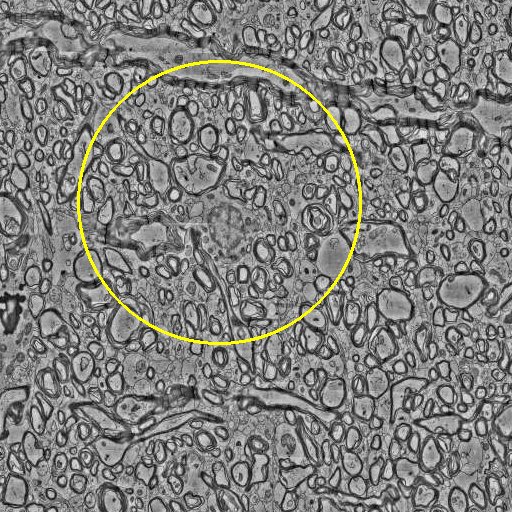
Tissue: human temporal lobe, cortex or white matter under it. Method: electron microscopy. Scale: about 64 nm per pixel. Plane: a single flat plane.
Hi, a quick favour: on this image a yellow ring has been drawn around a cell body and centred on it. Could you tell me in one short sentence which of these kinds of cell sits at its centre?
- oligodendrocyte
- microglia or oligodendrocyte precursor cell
The ring is centred on an oligodendrocyte.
